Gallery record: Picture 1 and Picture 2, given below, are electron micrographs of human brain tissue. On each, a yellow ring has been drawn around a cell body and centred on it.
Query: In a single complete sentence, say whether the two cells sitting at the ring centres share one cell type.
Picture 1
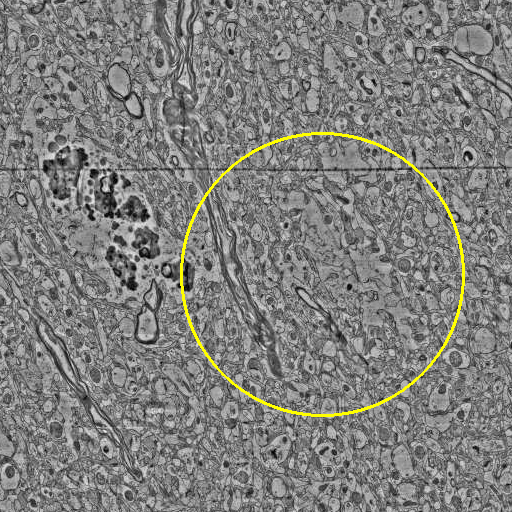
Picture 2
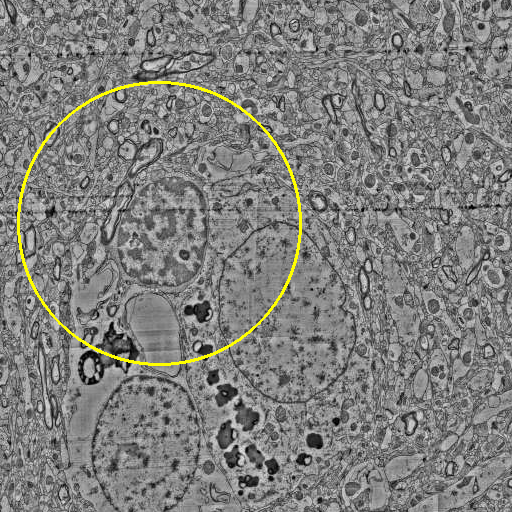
No, in the two pictures the cells at the rings' centres are of two separate types.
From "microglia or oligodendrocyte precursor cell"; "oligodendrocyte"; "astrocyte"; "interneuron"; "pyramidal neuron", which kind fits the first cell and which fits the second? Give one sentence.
The cell marked in the first picture is a microglial cell or oligodendrocyte precursor cell, and the one marked in the second is an oligodendrocyte.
